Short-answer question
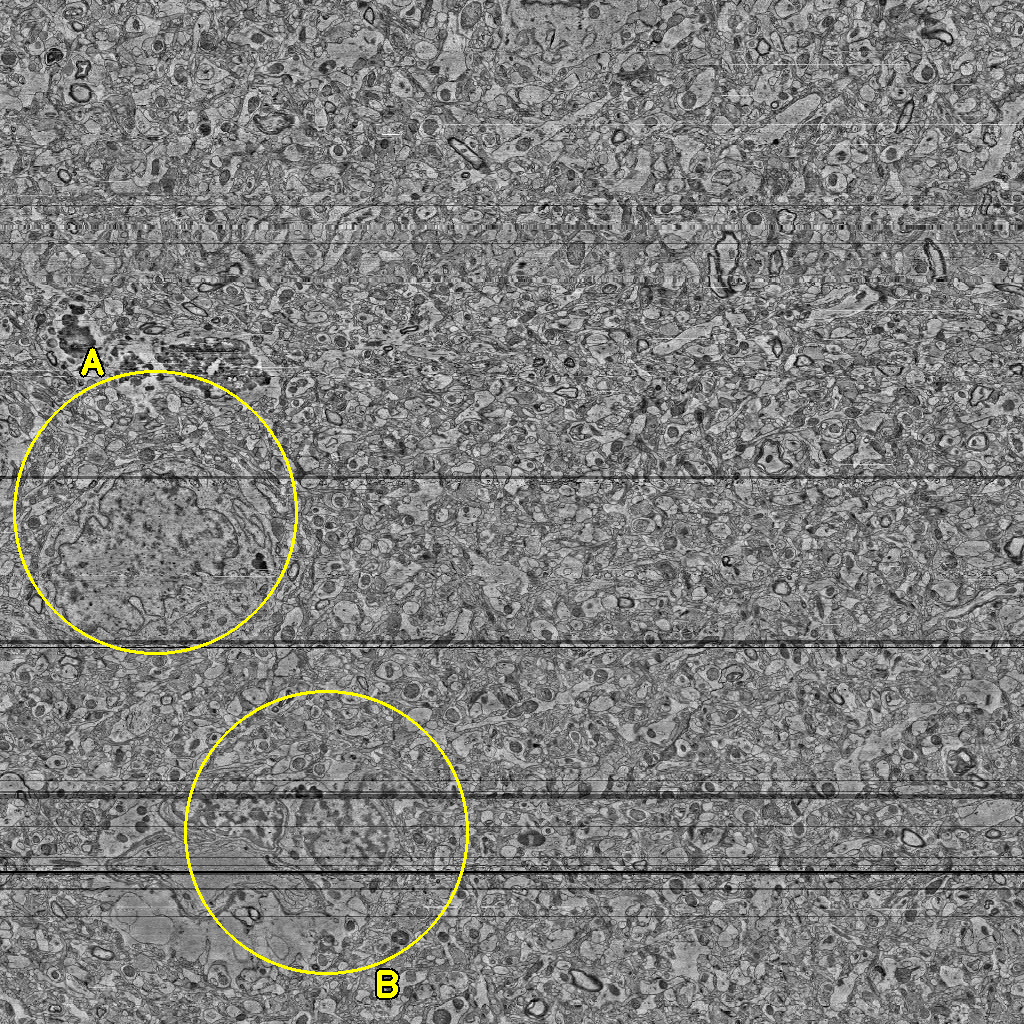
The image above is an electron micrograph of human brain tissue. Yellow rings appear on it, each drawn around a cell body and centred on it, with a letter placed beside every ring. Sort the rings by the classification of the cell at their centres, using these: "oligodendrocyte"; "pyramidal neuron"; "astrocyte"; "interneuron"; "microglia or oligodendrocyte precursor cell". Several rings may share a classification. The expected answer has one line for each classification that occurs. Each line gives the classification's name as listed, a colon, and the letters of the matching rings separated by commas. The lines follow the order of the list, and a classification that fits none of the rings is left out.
oligodendrocyte: B
interneuron: A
